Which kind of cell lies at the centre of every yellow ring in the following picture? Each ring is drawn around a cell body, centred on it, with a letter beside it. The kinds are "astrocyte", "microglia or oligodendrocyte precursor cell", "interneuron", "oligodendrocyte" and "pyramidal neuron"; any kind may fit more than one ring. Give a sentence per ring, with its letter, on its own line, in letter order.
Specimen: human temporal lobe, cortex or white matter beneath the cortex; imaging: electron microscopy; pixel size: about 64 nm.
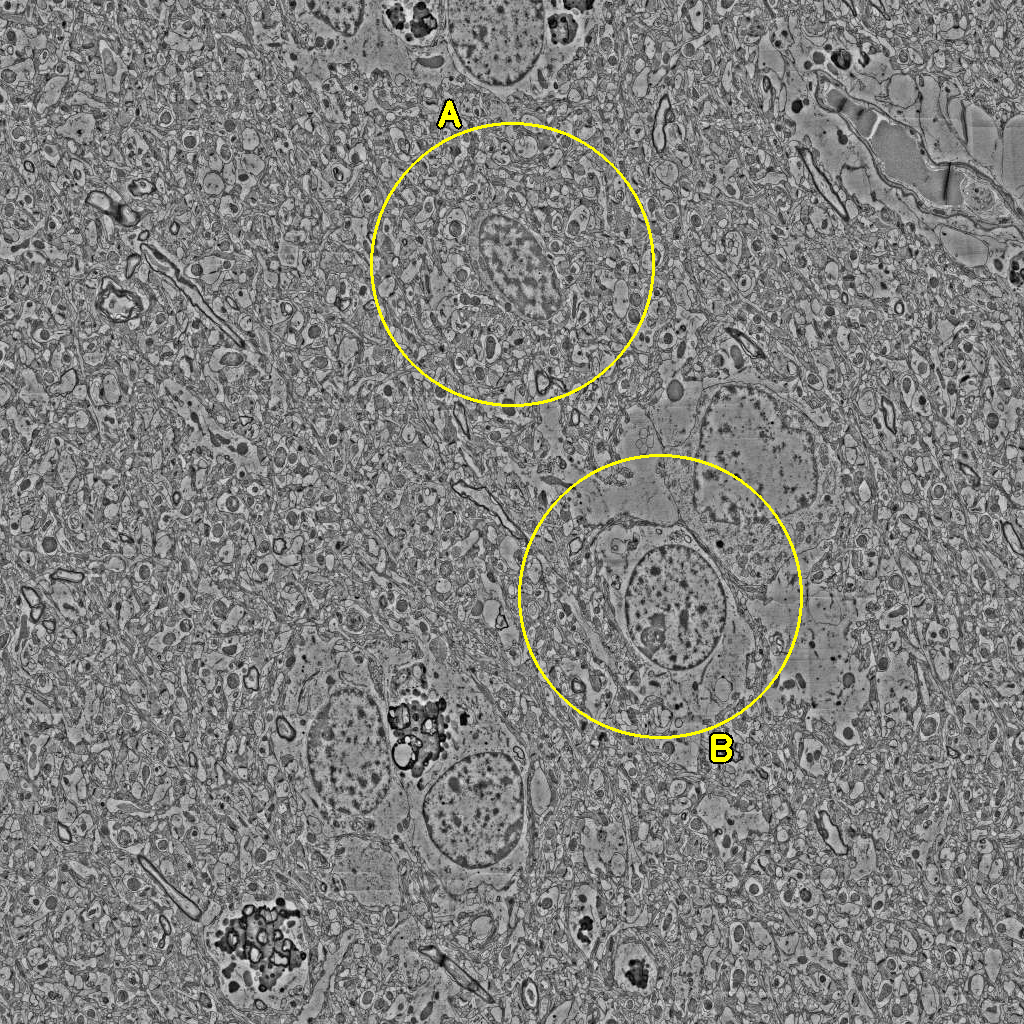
The cell body centred in ring A is that of an oligodendrocyte.
The cell body centred in ring B is that of an astrocyte.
